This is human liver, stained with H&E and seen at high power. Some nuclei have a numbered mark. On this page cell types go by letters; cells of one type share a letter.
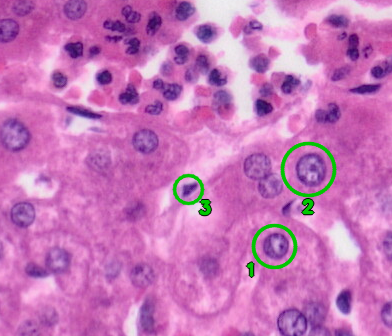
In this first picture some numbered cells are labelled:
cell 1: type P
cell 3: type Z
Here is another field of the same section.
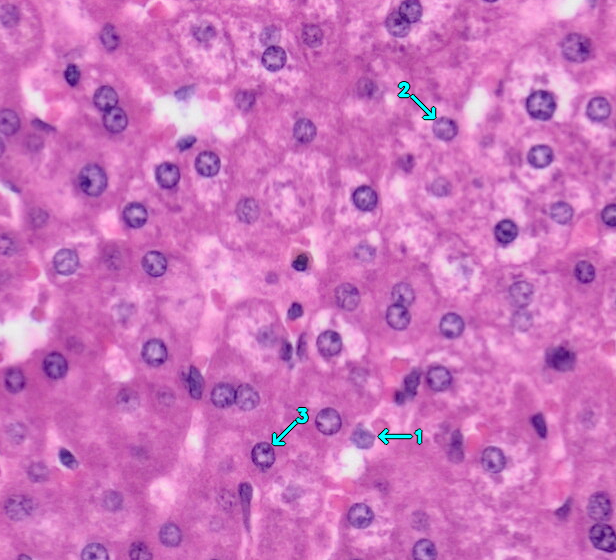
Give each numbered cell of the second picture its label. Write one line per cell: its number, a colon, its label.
1: type Z
2: type P
3: type P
